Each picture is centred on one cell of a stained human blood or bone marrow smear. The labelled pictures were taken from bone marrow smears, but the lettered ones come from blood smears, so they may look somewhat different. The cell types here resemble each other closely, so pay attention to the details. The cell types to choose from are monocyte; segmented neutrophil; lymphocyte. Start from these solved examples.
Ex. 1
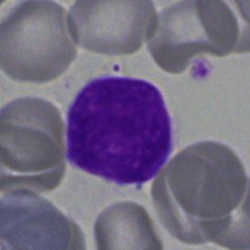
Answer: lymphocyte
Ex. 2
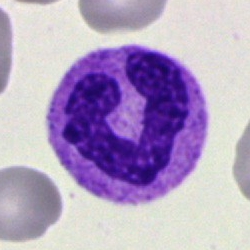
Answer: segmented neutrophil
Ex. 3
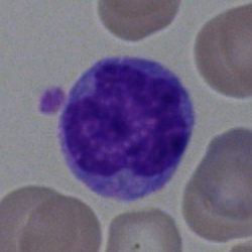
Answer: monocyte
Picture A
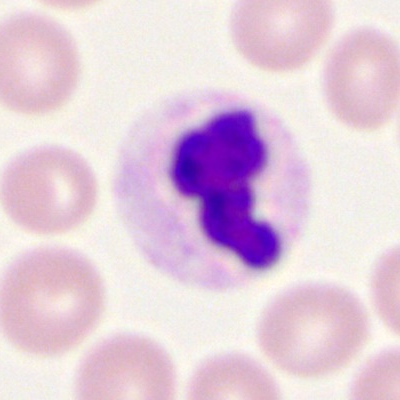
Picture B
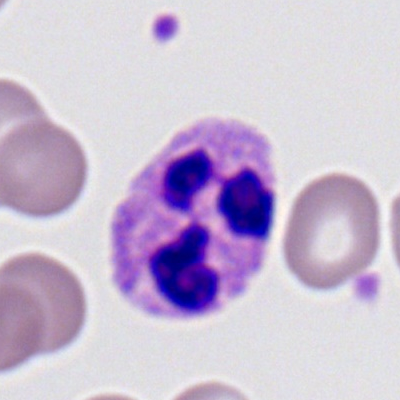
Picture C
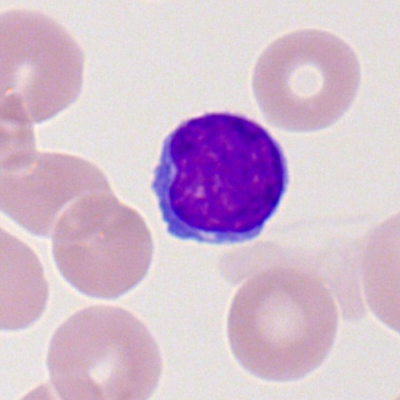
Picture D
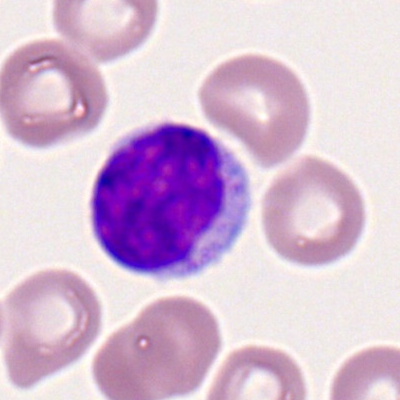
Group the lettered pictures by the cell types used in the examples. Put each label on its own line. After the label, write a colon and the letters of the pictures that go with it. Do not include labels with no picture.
segmented neutrophil: A, B
lymphocyte: C, D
